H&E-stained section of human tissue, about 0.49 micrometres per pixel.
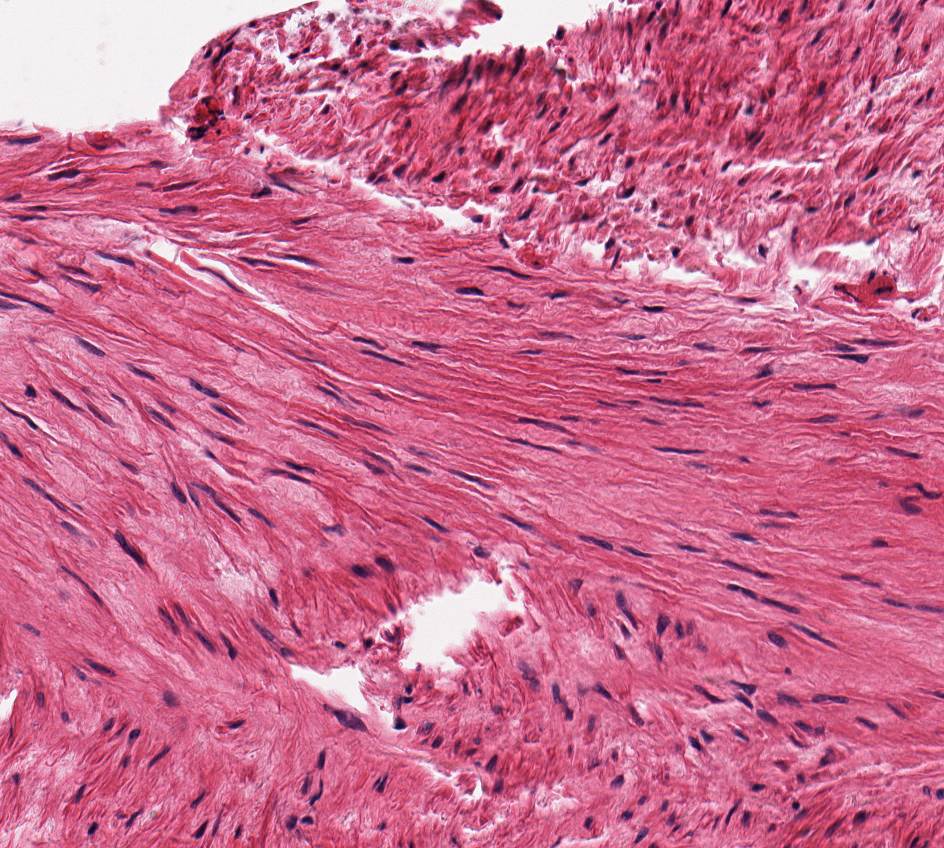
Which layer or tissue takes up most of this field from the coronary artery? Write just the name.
tunica media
